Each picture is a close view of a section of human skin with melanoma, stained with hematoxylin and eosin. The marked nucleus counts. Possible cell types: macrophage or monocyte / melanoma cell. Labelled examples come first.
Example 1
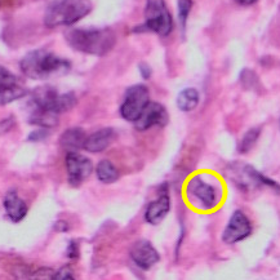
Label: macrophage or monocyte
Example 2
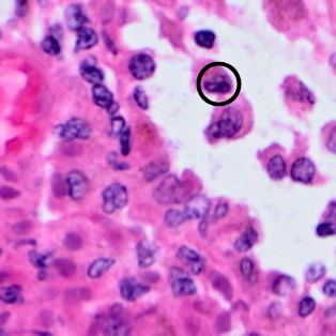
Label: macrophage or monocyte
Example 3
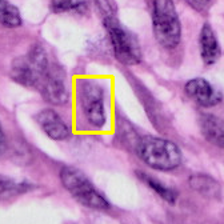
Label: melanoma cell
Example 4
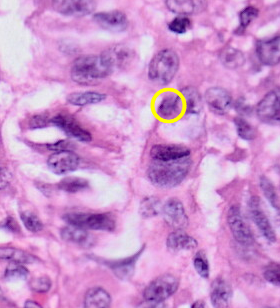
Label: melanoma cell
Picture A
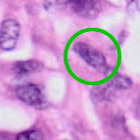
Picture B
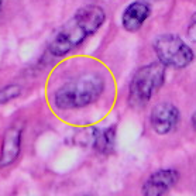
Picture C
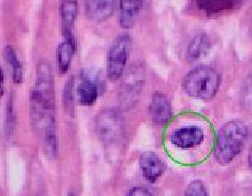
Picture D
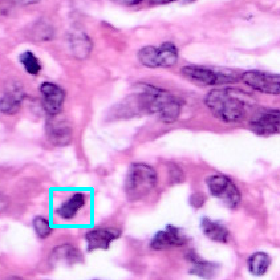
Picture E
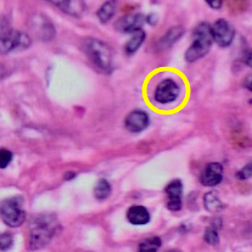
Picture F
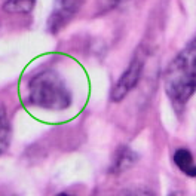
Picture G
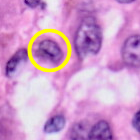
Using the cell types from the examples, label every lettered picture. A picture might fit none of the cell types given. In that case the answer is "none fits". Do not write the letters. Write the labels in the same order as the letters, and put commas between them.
melanoma cell, melanoma cell, none fits, none fits, none fits, melanoma cell, macrophage or monocyte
